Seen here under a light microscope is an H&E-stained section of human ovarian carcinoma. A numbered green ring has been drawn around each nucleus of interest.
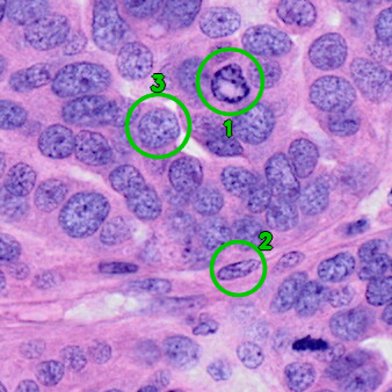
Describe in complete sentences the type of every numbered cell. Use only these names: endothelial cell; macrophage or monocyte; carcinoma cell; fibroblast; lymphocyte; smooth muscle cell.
Cell 1 is a carcinoma cell, cell 2 is a macrophage or monocyte and cell 3 is a carcinoma cell.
